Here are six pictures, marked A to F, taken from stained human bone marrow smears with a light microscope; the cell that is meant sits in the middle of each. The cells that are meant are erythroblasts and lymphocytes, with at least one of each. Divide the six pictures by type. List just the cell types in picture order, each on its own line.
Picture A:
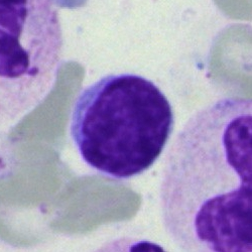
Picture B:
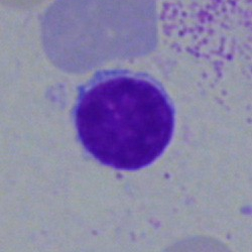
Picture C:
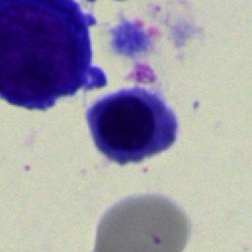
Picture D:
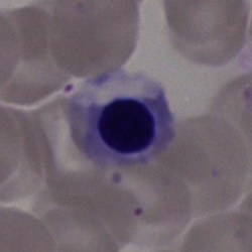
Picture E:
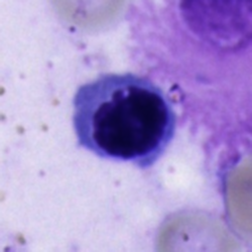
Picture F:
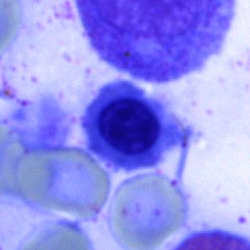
lymphocyte
lymphocyte
erythroblast
erythroblast
erythroblast
erythroblast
